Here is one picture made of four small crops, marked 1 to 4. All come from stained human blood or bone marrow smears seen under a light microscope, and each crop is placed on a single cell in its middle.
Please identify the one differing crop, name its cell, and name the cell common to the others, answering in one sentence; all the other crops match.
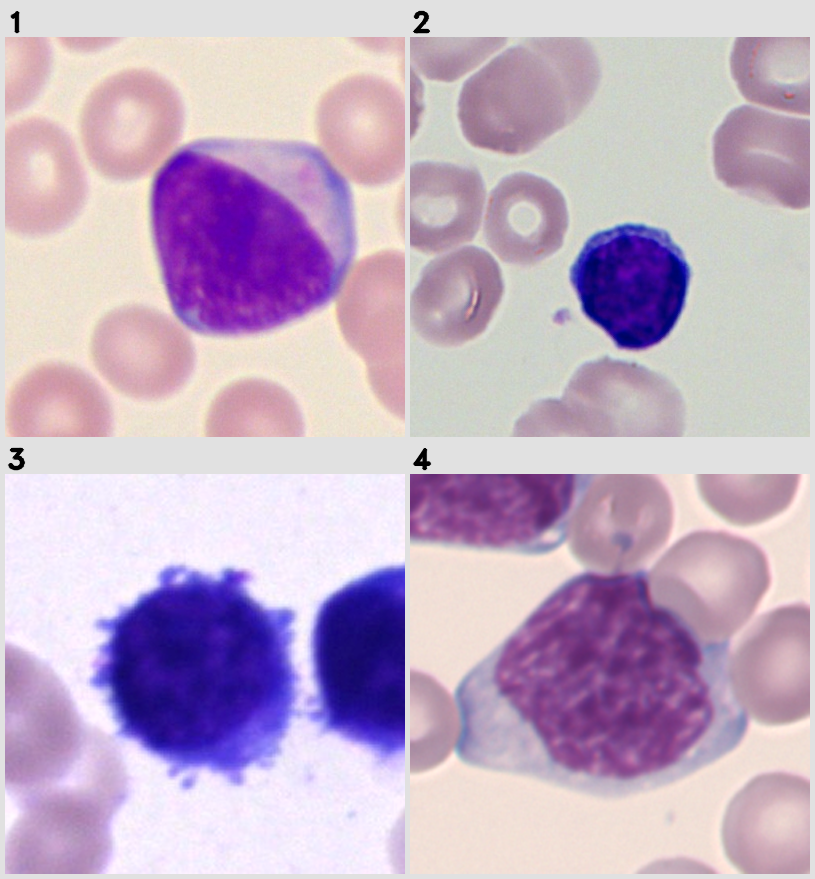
Every crop but one shows blasts; the exception, crop 2, shows a lymphocyte.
